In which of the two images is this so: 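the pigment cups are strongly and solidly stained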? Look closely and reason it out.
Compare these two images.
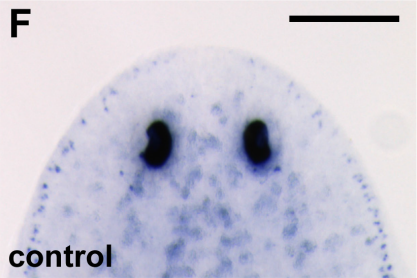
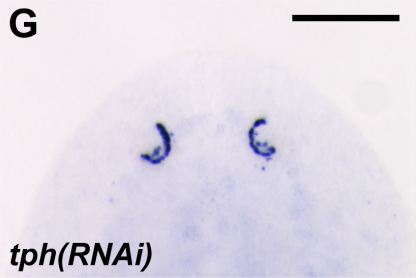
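First image: the two cups are filled with dense dark stain and scattered stained dots lie across the head. The answer: the first image.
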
